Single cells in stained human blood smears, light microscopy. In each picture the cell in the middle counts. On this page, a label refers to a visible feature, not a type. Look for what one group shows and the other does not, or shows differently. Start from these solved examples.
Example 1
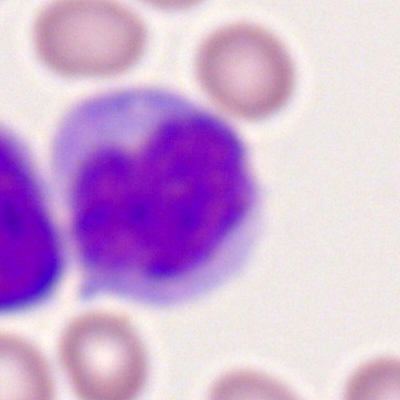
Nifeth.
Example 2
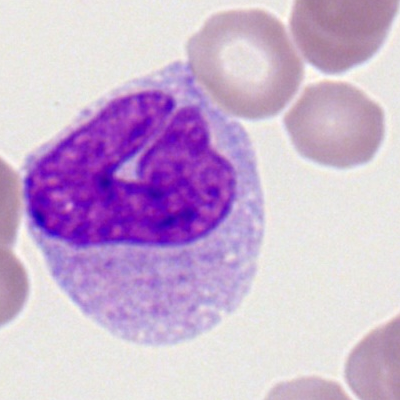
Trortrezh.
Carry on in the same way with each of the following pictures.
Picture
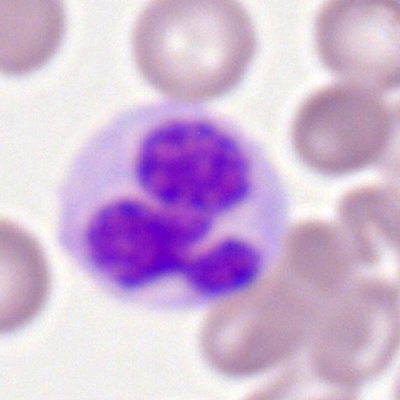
Trortrezh.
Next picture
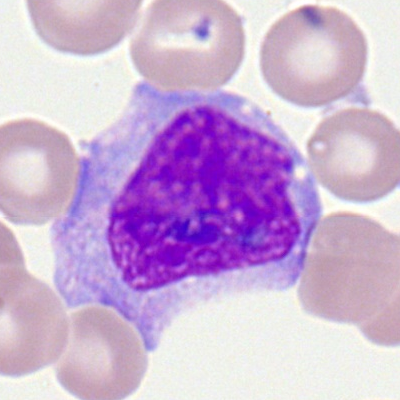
Trortrezh.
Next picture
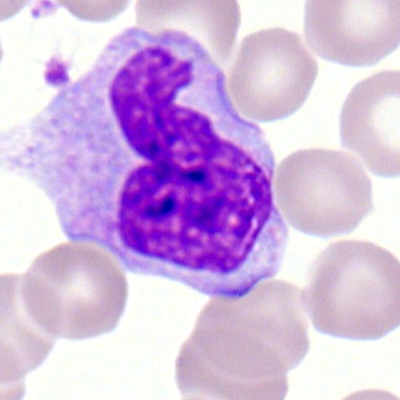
Trortrezh.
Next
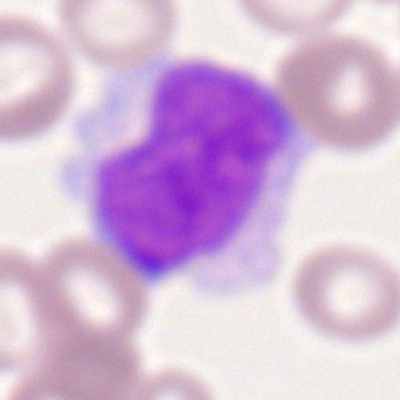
Nifeth.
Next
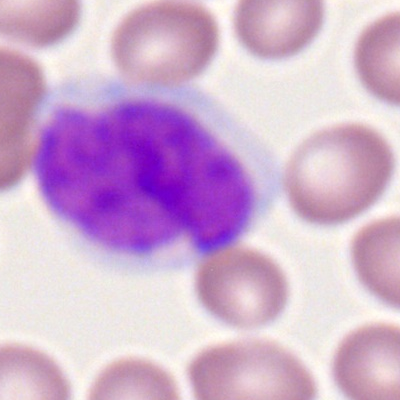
Nifeth.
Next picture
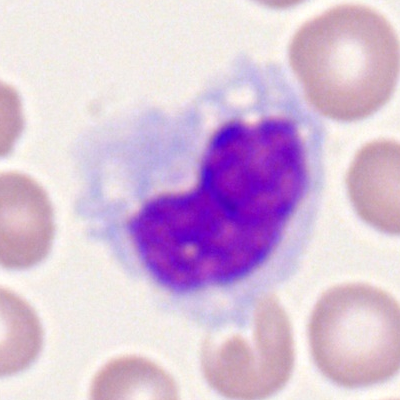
Trortrezh.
